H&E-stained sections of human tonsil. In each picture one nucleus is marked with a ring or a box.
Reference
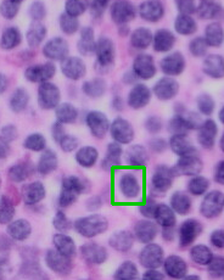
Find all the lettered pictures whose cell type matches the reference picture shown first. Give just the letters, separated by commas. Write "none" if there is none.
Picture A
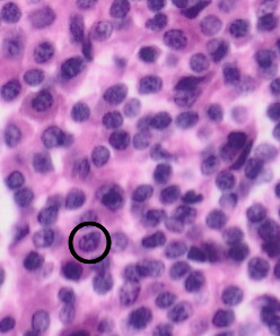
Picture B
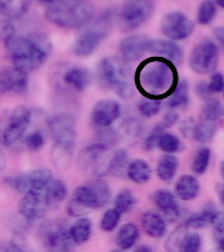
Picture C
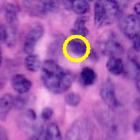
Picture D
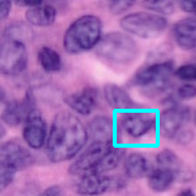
none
